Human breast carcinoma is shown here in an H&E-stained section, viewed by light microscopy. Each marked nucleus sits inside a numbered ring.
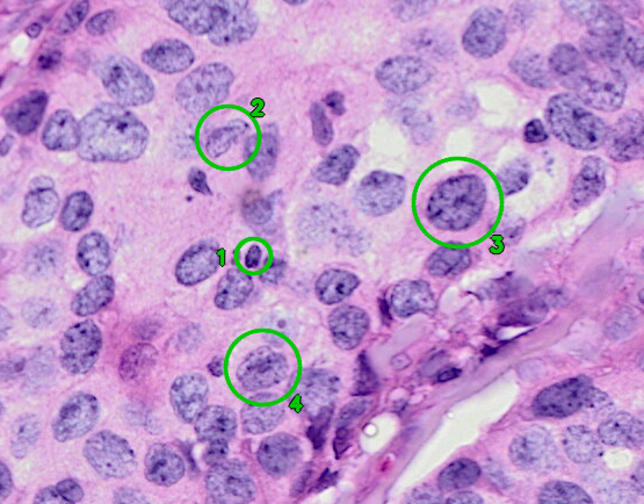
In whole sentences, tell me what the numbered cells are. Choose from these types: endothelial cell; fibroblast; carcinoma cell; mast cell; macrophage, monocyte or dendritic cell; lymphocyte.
Cell 1 is a lymphocyte. Cells 2, 3 and 4 are carcinoma cells.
